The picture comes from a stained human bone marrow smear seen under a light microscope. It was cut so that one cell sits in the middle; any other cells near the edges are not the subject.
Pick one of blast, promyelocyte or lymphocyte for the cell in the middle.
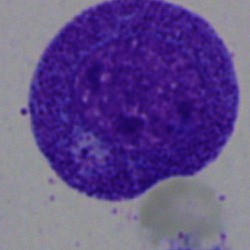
promyelocyte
